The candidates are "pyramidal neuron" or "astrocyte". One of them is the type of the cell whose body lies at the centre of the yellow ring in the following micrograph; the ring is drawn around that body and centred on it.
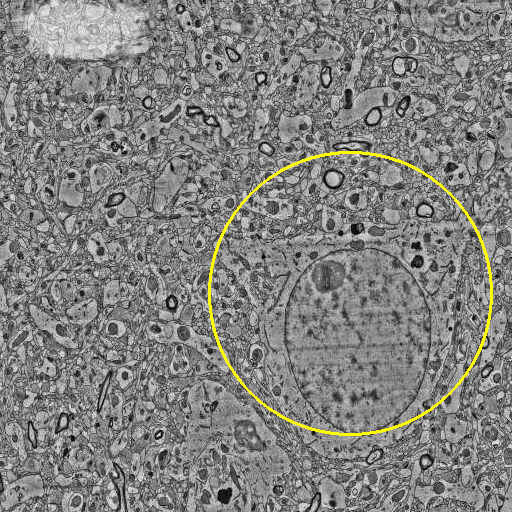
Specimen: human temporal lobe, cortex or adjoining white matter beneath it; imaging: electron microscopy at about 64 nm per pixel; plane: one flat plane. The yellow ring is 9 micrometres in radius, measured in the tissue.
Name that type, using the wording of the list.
pyramidal neuron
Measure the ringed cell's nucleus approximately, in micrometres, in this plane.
In this plane, approximately 12 by 9 micrometers.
